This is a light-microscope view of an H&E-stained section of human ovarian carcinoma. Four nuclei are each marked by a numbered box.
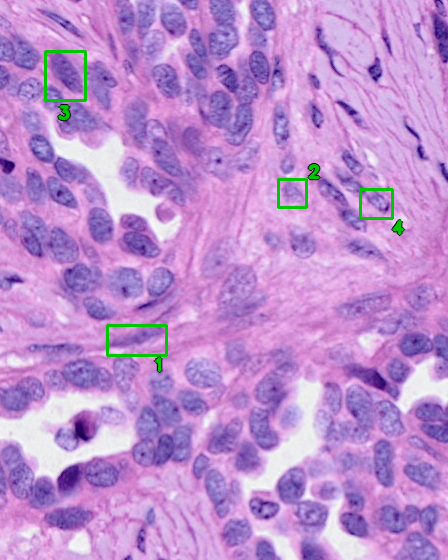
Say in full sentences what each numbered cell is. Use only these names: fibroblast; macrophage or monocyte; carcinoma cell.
Cell 1 is a fibroblast, cell 2 is a fibroblast, cell 3 is a carcinoma cell and cell 4 is a fibroblast.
